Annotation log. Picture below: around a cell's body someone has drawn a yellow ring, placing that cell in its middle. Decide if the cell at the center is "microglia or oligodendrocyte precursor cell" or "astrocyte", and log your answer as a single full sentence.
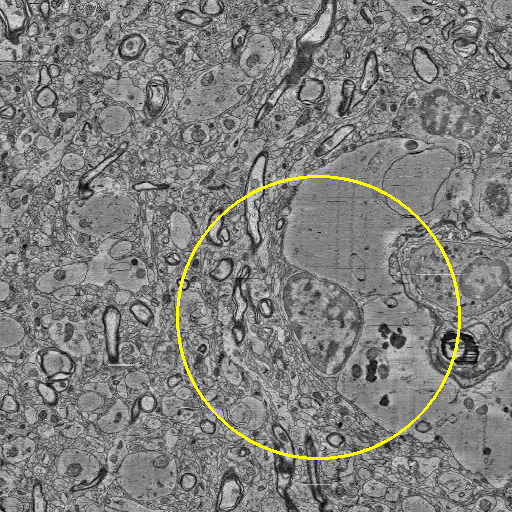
My entry records a microglial cell or oligodendrocyte precursor cell as the cell sitting at the center of the yellow ring.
